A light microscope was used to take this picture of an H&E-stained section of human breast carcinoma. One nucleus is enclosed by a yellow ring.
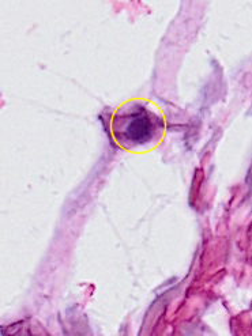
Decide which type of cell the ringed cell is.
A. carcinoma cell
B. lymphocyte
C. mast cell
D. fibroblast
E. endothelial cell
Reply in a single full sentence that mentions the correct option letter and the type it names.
The item is answered by option E: the ringed cell is an endothelial cell.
